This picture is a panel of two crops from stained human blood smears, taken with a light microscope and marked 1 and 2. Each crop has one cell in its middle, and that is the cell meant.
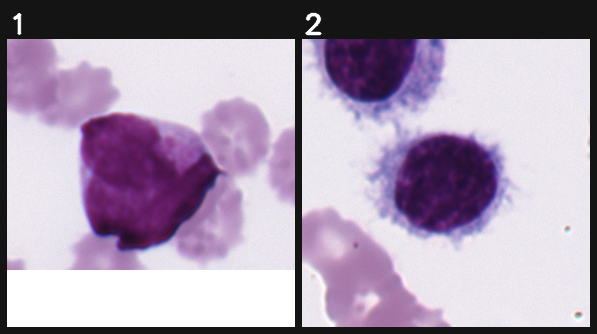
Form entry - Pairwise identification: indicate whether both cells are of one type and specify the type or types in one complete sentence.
No, the central cell of crop 1 is a blast; that of crop 2 is a hairy cell.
